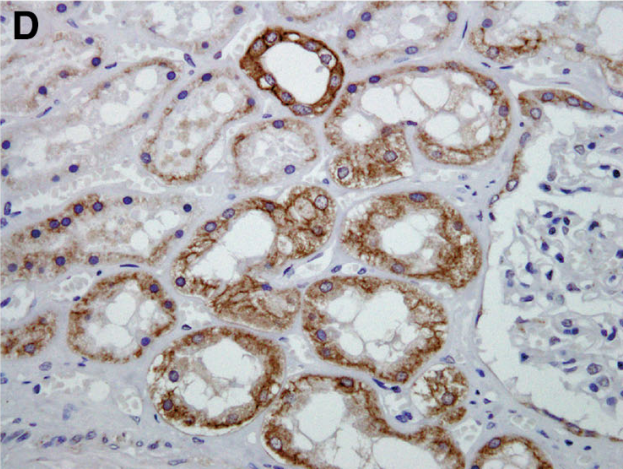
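Normal renal cortex with tubules cut in cross section and part of a glomerulus at the right edge. The tubules are lined by cuboidal epithelium with round nuclei and granular cytoplasm, many with vacuolated luminal material. Brown granular staining fills the cytoplasm of many tubules to differing degrees, one small tubule staining most intensely. The glomerular tuft and the interstitium are unstained, with blue nuclei only.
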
